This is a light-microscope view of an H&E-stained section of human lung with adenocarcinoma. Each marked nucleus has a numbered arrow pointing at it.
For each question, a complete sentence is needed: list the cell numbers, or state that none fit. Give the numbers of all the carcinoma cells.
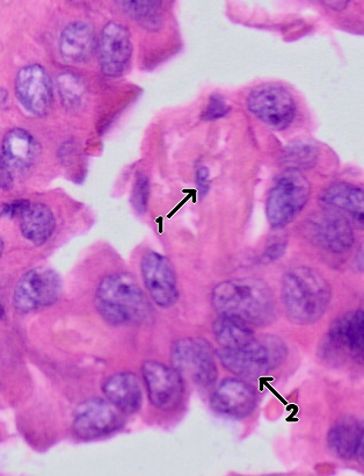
Cell 2 is a carcinoma cell; the remaining numbered cells are not.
